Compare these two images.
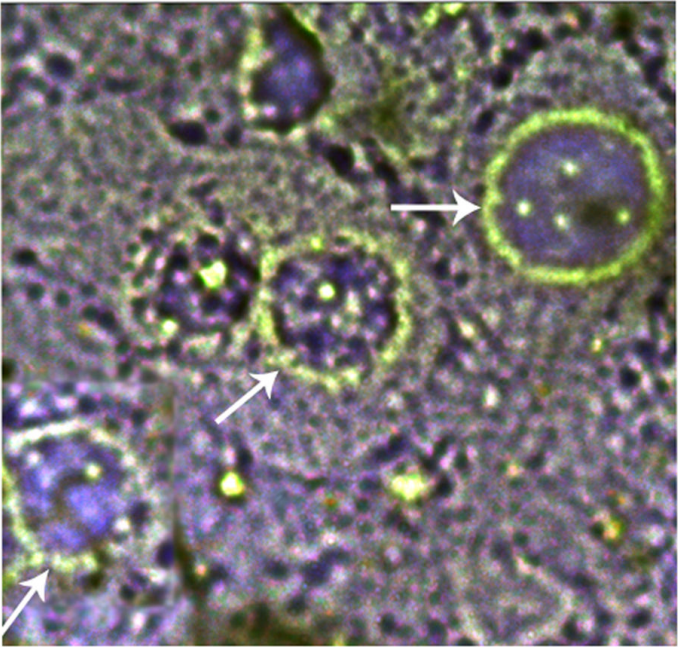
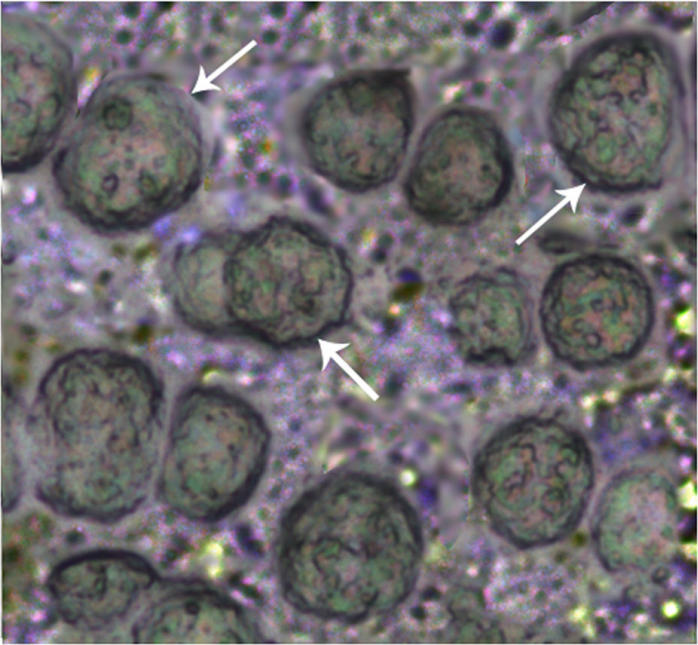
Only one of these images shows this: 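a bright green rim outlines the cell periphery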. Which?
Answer: The first image.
